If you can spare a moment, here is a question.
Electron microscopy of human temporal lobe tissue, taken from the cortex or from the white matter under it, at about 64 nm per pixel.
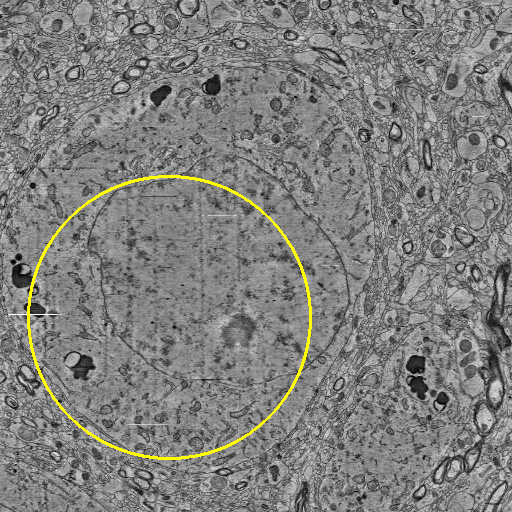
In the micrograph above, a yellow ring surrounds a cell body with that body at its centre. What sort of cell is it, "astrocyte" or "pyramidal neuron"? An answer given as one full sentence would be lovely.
Centred inside the yellow ring, the cell body shown belongs to a pyramidal neuron in this micrograph.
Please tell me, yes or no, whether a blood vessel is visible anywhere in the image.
No, none shows.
